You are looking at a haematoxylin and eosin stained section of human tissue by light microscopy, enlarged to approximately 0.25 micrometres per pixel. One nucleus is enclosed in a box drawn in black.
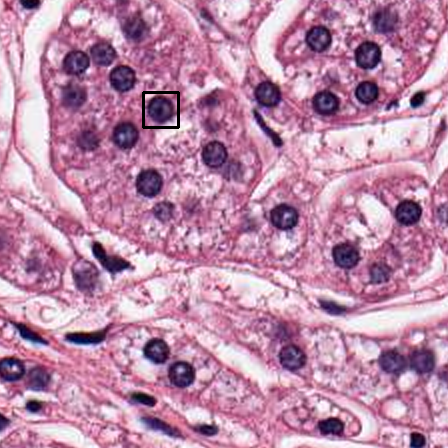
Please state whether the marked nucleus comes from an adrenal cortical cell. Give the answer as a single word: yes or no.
yes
